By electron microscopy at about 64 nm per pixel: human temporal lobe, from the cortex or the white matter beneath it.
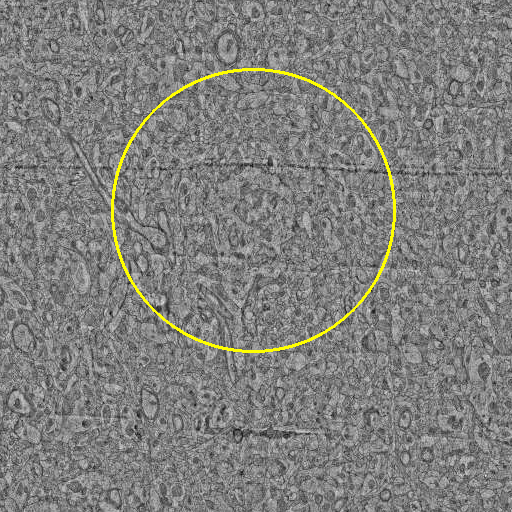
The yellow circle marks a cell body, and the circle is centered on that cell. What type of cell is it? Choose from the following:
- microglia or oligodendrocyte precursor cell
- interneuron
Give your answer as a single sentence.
This cell body belongs to an interneuron.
